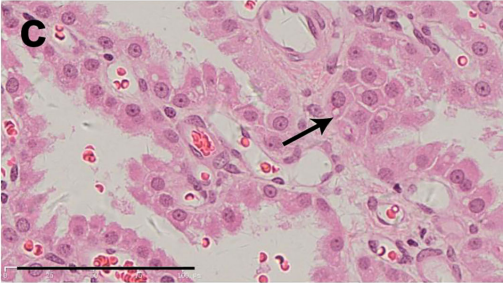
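Choroid plexus epithelium forms branching fronds, each lined by a single layer of cuboidal to low columnar cells around a core of capillaries packed with red blood cells. The epithelial cells have round nuclei with a distinct central nucleolus. The apical surfaces are irregular and bulge into the surrounding empty space, while the thin vascular cores run down the middle of each frond.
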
